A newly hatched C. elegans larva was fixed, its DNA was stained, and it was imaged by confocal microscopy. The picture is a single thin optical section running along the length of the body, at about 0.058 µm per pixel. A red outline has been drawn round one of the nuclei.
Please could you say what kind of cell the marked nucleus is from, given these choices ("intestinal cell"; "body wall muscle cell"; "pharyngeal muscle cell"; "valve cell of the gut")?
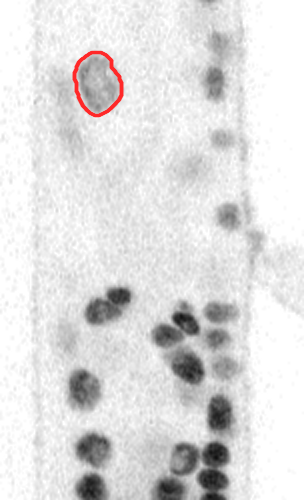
intestinal cell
